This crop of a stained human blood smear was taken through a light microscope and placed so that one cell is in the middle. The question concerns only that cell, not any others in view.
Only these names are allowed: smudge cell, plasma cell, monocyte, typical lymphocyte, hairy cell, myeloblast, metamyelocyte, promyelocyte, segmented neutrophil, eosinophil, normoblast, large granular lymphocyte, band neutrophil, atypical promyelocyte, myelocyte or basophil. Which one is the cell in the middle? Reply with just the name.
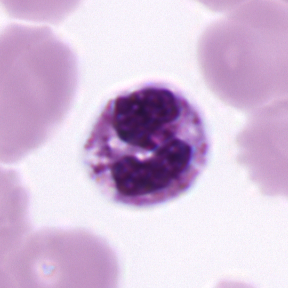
eosinophil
